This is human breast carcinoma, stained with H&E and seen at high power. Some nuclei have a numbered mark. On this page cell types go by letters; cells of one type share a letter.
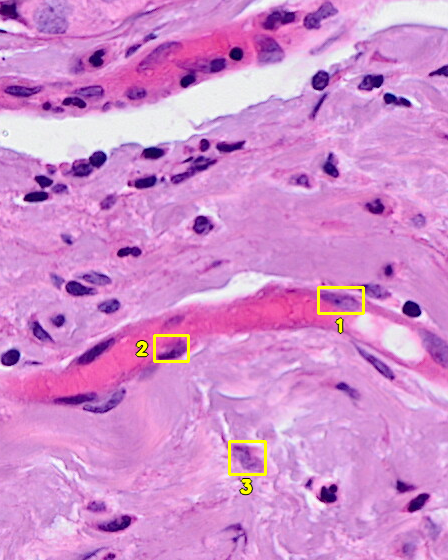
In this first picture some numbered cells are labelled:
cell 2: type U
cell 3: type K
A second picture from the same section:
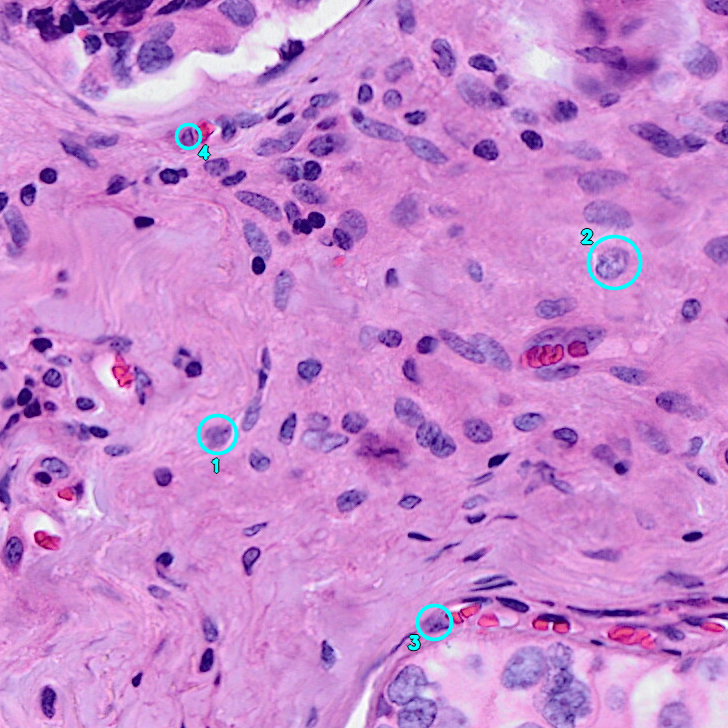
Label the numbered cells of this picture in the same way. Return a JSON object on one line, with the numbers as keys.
{"1": "type K", "2": "type K", "3": "type U", "4": "type U"}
